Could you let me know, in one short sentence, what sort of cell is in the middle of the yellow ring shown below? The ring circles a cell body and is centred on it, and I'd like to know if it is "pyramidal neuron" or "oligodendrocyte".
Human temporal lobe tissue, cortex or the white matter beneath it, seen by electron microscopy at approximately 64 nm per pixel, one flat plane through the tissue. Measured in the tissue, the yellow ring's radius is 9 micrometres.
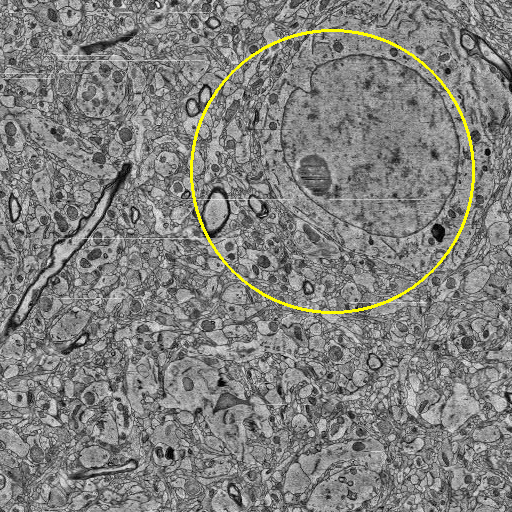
The ring circles the cell body of a pyramidal neuron.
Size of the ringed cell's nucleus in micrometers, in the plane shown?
Approximately 13 micrometres long and 11 micrometres wide, in this plane.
